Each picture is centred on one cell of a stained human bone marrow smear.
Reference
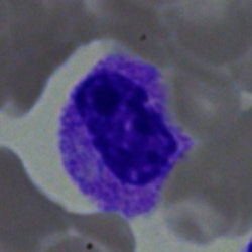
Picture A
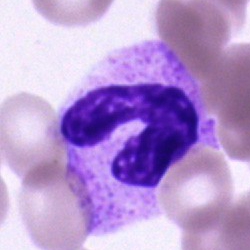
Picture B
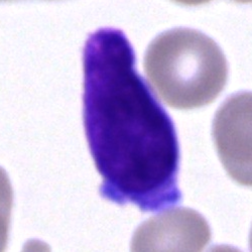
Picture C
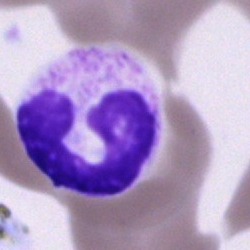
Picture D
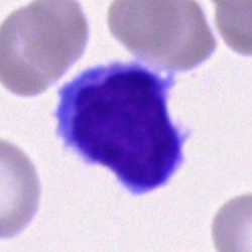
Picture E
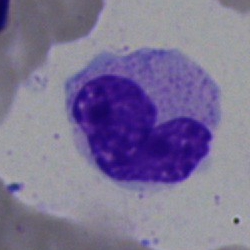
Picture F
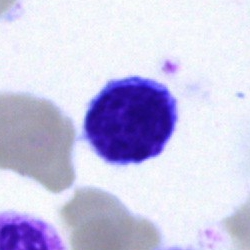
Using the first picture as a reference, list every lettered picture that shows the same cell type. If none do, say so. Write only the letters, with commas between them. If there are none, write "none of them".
A, C, E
